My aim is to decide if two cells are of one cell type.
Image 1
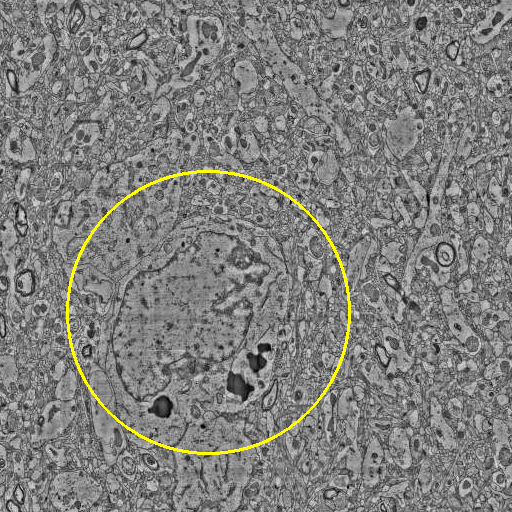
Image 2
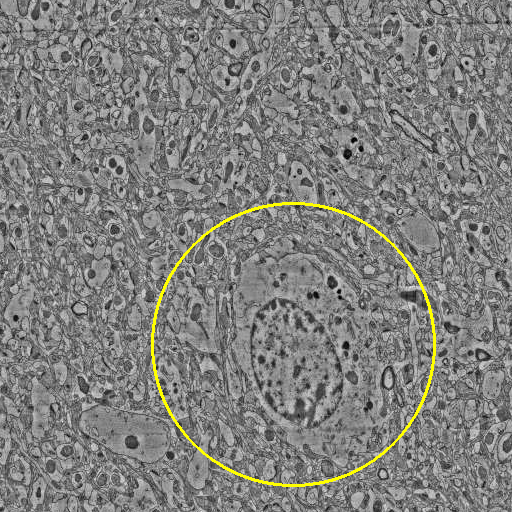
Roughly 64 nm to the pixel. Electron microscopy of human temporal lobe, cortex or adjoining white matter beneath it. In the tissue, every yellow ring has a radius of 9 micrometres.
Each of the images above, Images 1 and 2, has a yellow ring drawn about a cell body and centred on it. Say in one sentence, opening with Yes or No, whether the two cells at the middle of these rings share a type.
No, in Images 1 and 2 the cells at the middle of the rings fall into two types.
